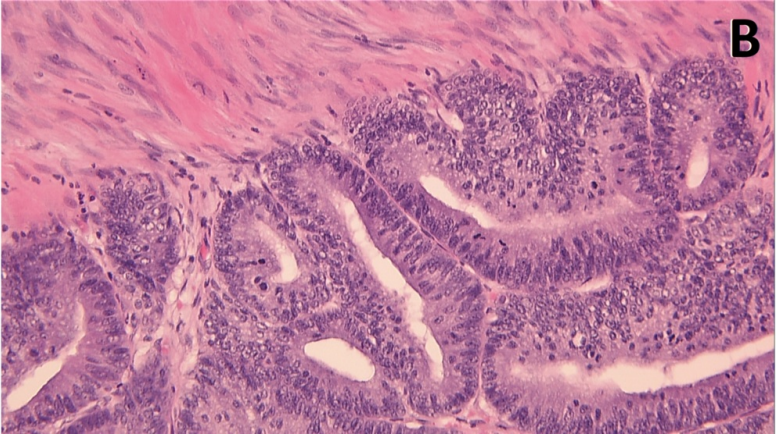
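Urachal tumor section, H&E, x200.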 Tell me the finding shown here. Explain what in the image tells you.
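Crowded glands lined by tall columnar cells. Elongated, dark nuclei stacked in several layers. Nuclei crowded and overlapping rather than in a single basal row. On this evidence: dysplastic epithelium.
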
